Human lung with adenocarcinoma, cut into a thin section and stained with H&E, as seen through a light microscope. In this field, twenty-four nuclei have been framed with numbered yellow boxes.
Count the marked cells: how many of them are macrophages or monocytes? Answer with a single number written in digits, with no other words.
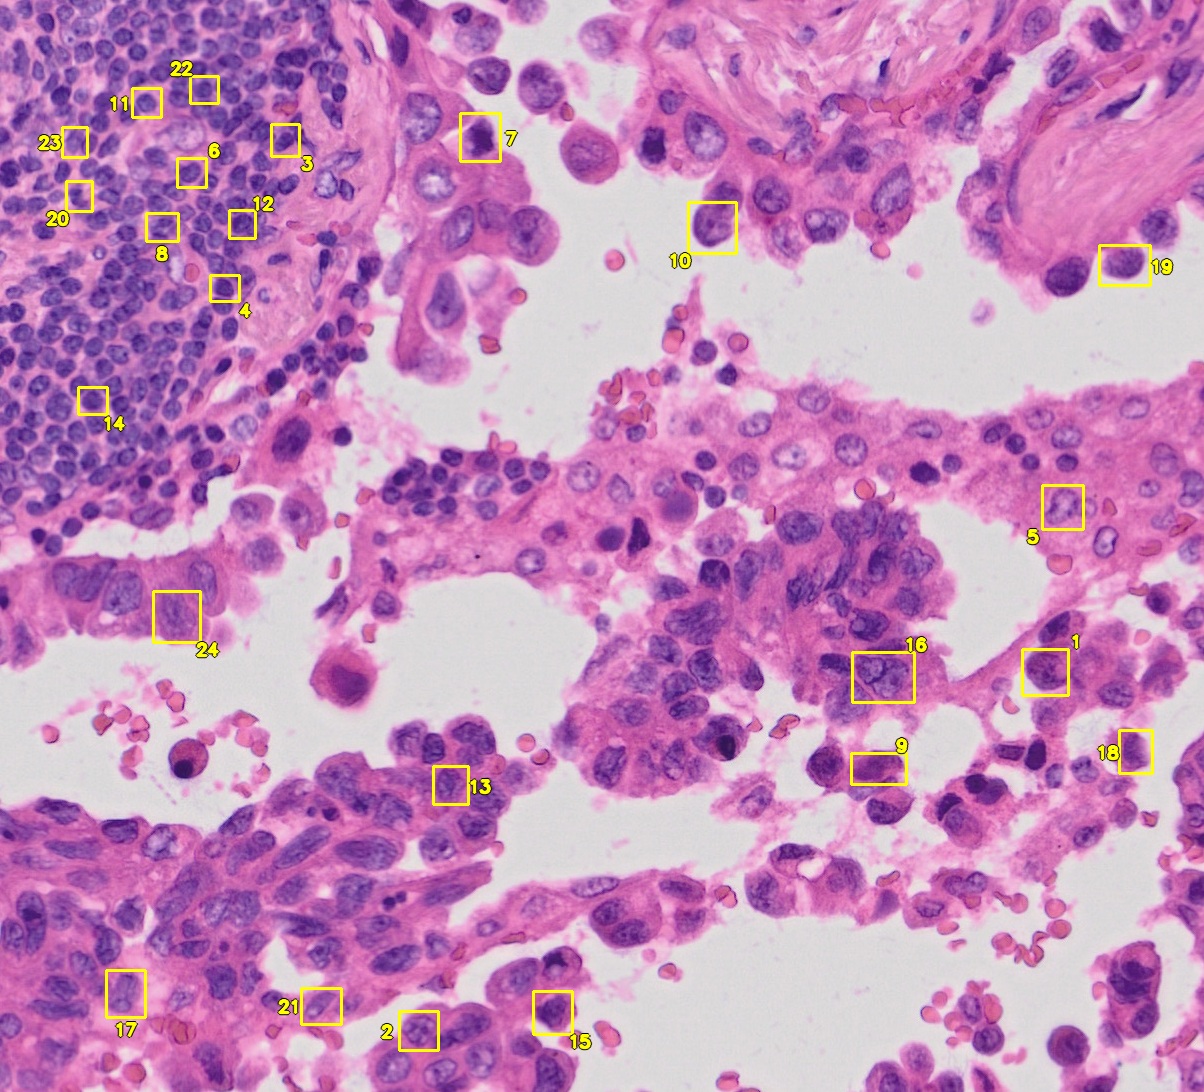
2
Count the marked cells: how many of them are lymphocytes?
10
